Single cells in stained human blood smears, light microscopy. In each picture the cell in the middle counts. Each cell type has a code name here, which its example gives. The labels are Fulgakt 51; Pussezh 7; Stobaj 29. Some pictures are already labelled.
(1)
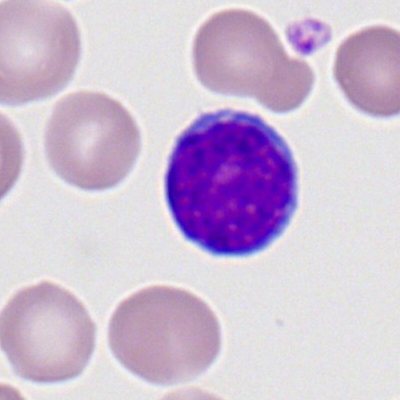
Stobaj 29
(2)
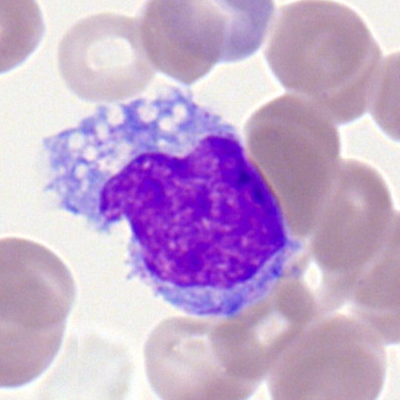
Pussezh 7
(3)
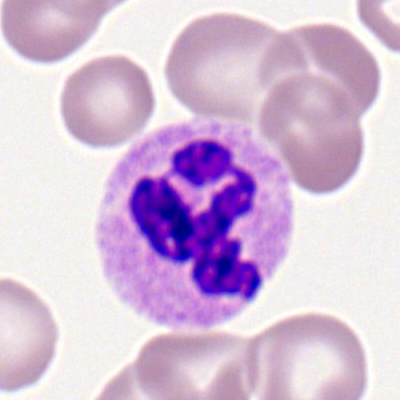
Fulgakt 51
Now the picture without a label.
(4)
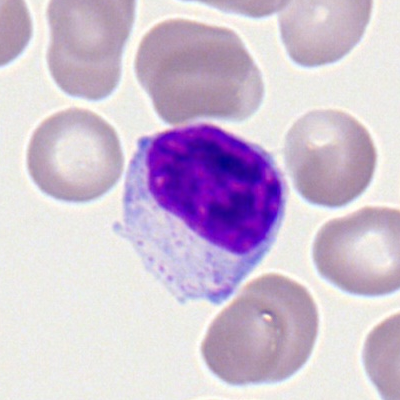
Stobaj 29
